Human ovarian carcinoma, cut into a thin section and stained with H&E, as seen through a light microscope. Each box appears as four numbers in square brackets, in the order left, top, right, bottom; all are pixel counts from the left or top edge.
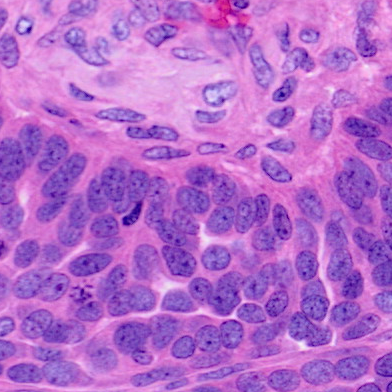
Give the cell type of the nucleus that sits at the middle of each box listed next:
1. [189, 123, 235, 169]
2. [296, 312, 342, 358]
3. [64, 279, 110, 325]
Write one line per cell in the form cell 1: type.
cell 1: fibroblast
cell 2: carcinoma cell
cell 3: carcinoma cell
